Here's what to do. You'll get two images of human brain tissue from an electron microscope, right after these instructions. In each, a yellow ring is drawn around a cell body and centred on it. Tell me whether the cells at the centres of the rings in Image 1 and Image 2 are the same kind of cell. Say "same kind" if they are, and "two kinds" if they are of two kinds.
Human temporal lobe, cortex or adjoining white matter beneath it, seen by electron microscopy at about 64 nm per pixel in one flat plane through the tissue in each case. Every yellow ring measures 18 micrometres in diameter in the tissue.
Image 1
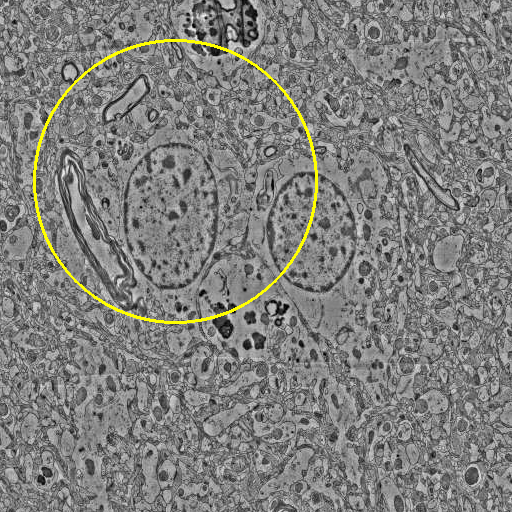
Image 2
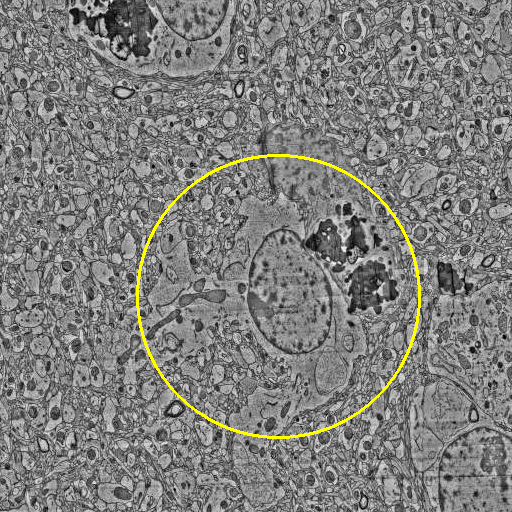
same kind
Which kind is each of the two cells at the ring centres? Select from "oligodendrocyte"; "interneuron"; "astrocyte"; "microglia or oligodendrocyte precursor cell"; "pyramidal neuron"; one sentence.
The ring centre holds an astrocyte in each of the two pictures.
